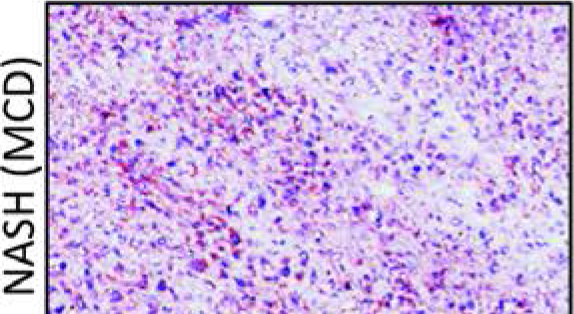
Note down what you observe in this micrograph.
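Red staining forms streaks and granular patches between the nuclei, following an elongated, roughly linear pattern, most clearly in a band in the lower left. Darker purple clusters of nuclei appear in places, such as near the upper right edge. Individual cell borders are hard to make out.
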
